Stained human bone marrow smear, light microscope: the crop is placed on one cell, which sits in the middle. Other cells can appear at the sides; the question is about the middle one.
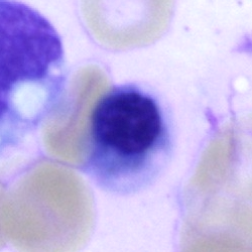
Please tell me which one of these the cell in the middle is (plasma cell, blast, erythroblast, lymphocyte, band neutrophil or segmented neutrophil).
erythroblast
